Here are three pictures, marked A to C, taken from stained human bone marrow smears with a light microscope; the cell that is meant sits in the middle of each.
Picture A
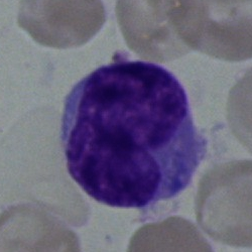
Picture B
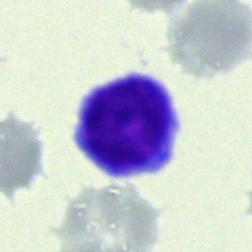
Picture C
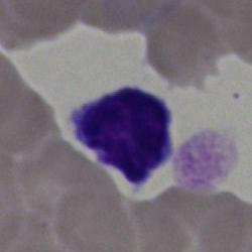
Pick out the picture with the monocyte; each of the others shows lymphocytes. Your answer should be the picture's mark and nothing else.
A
